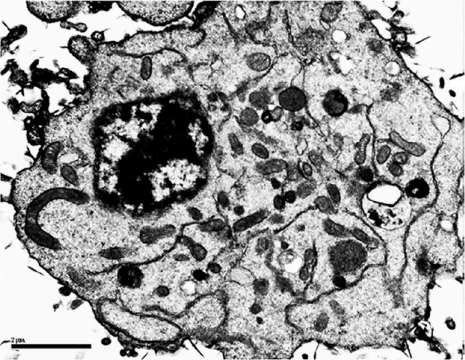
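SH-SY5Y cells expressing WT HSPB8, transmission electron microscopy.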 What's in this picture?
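This is a single cultured cell seen in thin section, with a nucleus on the left and a broad cytoplasm filled with organelles. The nucleus is rounded with a dark, clumped chromatin mass inside a paler nucleoplasm and a clear nuclear envelope. Numerous dark oval and rod-shaped mitochondria lie separately from one another and are scattered throughout the cytoplasm. A few pale vacuoles and membrane-bounded vesicles are also present, and the cell surface is irregular with small projections.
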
